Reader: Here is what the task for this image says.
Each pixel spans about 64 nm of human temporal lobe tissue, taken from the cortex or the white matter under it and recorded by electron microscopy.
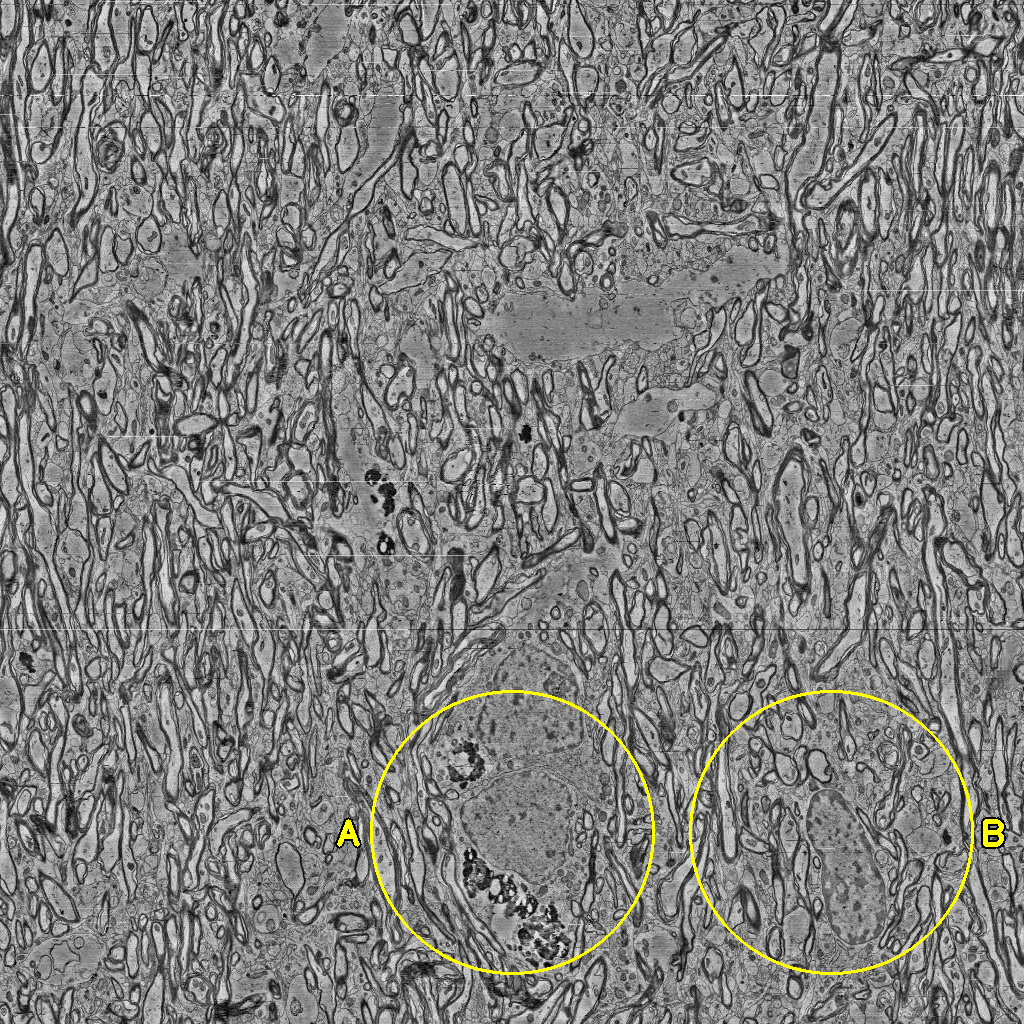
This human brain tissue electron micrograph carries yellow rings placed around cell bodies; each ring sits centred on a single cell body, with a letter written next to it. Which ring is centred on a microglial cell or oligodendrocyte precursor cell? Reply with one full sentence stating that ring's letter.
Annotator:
Letter B marks the ring whose centre holds the cell asked for.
